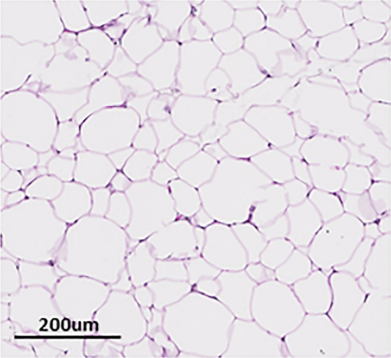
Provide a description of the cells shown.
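This section shows white fat made of closely packed adipocytes. The cells are outlined only by thin pink to purple rims of cytoplasm and membrane, giving a net-like, honeycomb pattern. Nuclei are scarce and appear as small, dark purple, flattened dots pressed against the cell rims or lying where several cells meet. The cells vary in size across the field, with smaller cells mixed among larger ones.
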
